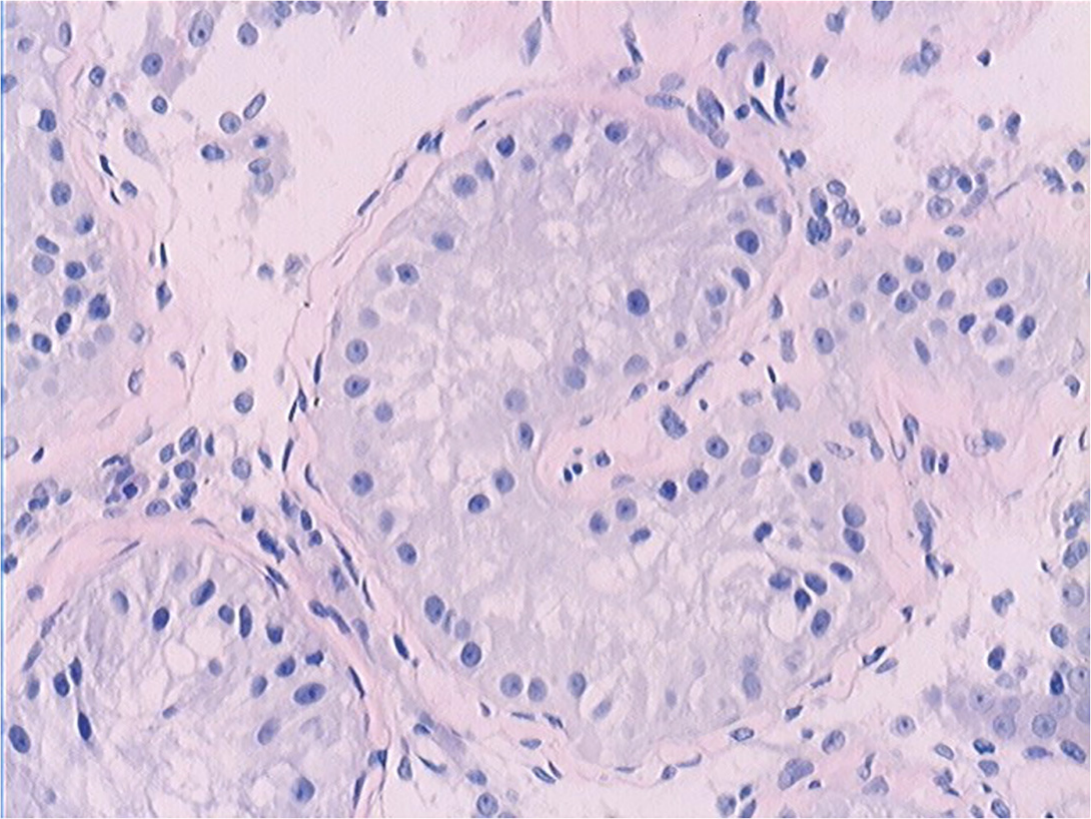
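Cross-sections of seminiferous tubules of the testis are seen, with the spaces between them holding interstitial tissue. Each tubule is bounded by a thin pink wall lined by flattened, spindle-shaped dark nuclei. Inside, cells with round to oval purple nuclei lie along the base and scattered through the epithelium, set in a pale lilac, foamy cytoplasm with many clear vacuoles. No distinct open lumen is seen, and no small, elongated, dark-headed cells or sperm appear toward the centre. Between the tubules, a loose pale-pink stroma holds spindle-shaped cells and small clusters of cells with round nuclei.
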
